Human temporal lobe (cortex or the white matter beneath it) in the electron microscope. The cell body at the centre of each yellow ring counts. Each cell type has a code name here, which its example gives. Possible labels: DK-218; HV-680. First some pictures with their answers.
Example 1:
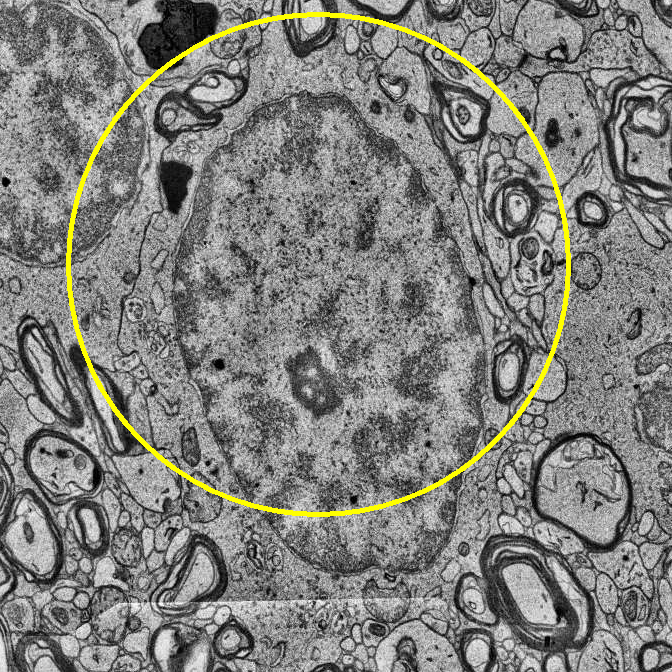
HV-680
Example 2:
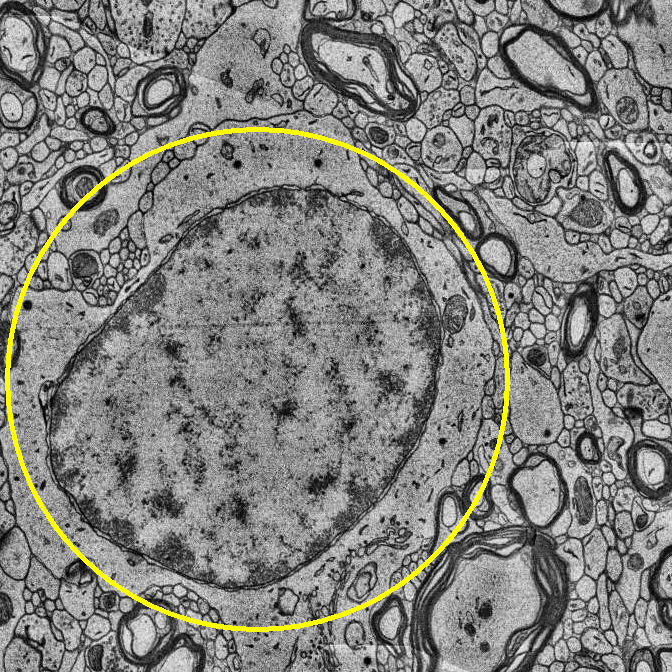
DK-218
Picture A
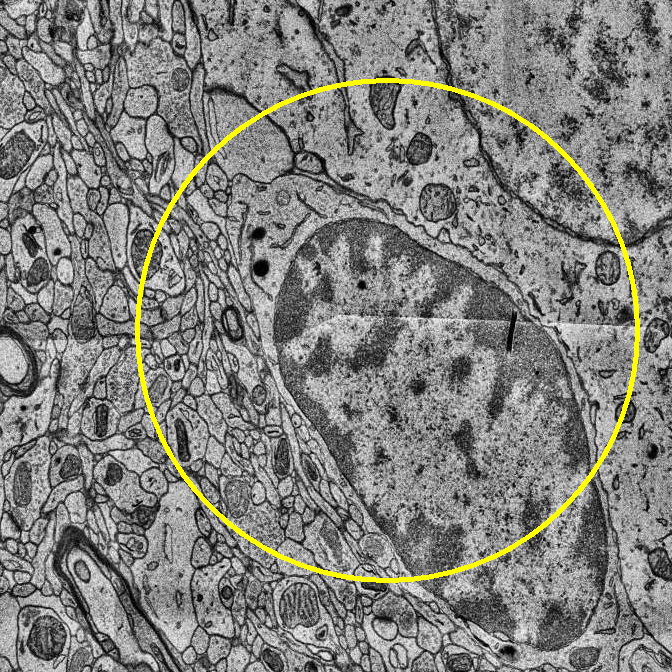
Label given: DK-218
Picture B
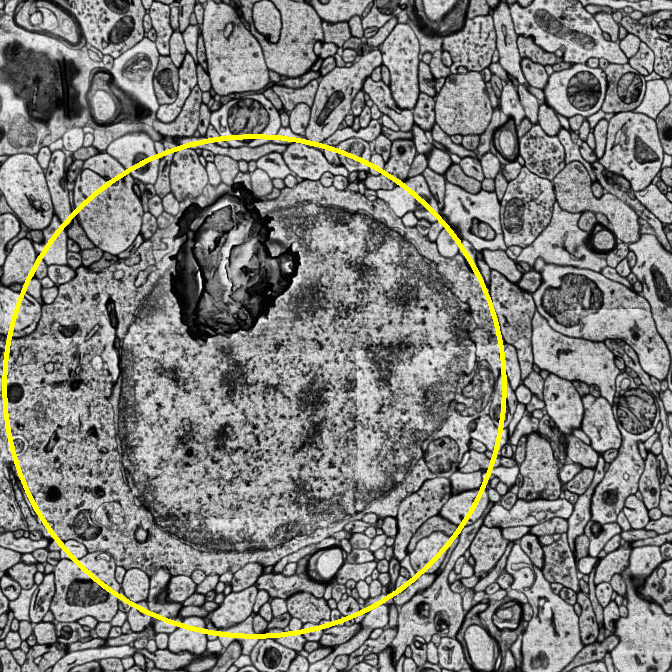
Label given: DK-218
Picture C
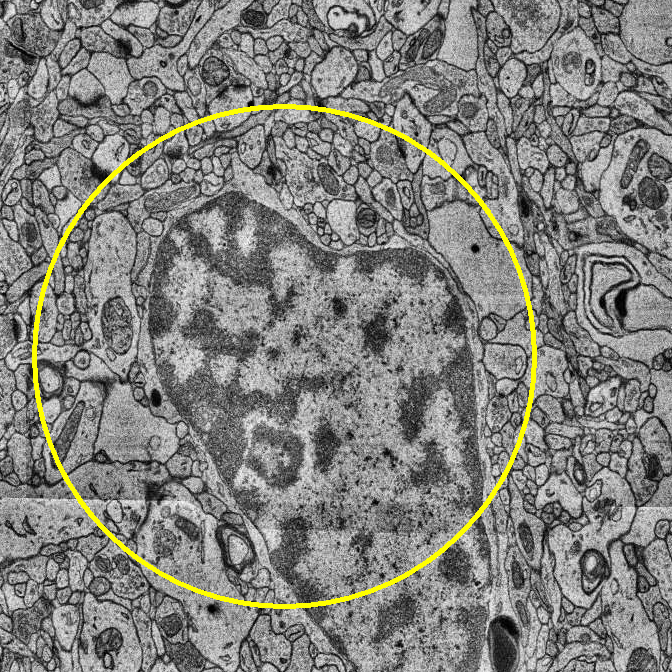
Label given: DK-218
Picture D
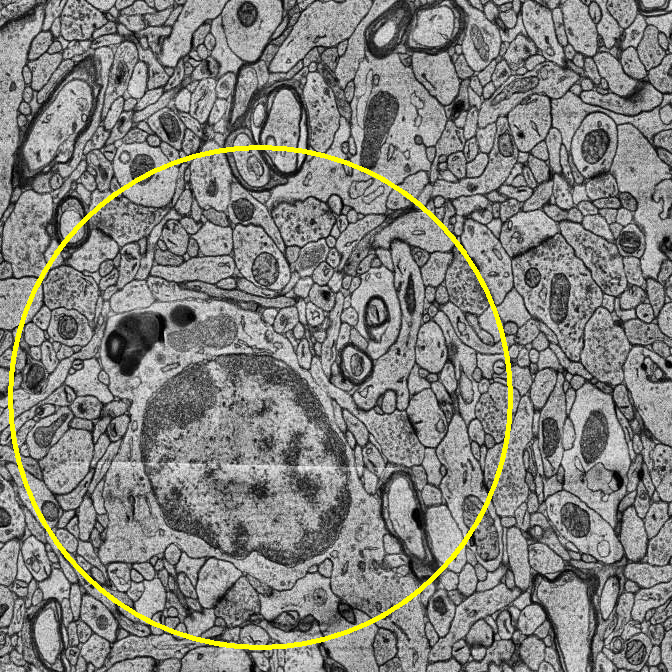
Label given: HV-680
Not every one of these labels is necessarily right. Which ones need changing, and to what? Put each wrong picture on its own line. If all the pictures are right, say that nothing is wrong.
B: not DK-218 but HV-680
D: not HV-680 but DK-218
